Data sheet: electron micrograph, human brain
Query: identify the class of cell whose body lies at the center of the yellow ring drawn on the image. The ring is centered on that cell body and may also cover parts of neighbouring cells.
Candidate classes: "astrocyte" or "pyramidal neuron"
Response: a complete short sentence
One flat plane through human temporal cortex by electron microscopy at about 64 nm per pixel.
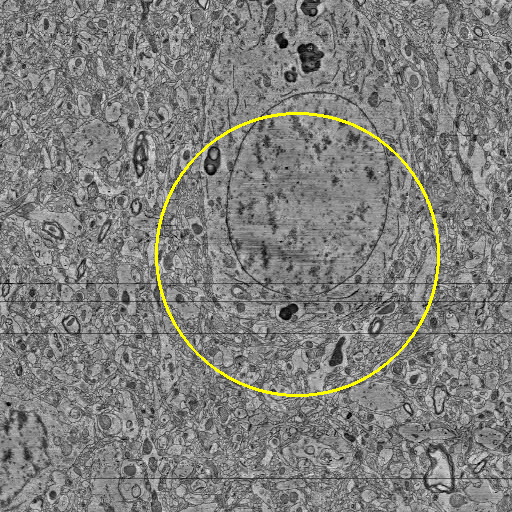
At the center of the ring lies a pyramidal neuron.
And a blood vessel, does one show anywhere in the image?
No, the image shows no blood vessel.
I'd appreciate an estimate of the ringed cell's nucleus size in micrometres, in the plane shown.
Approximately 14 x 10 micrometres in this plane.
